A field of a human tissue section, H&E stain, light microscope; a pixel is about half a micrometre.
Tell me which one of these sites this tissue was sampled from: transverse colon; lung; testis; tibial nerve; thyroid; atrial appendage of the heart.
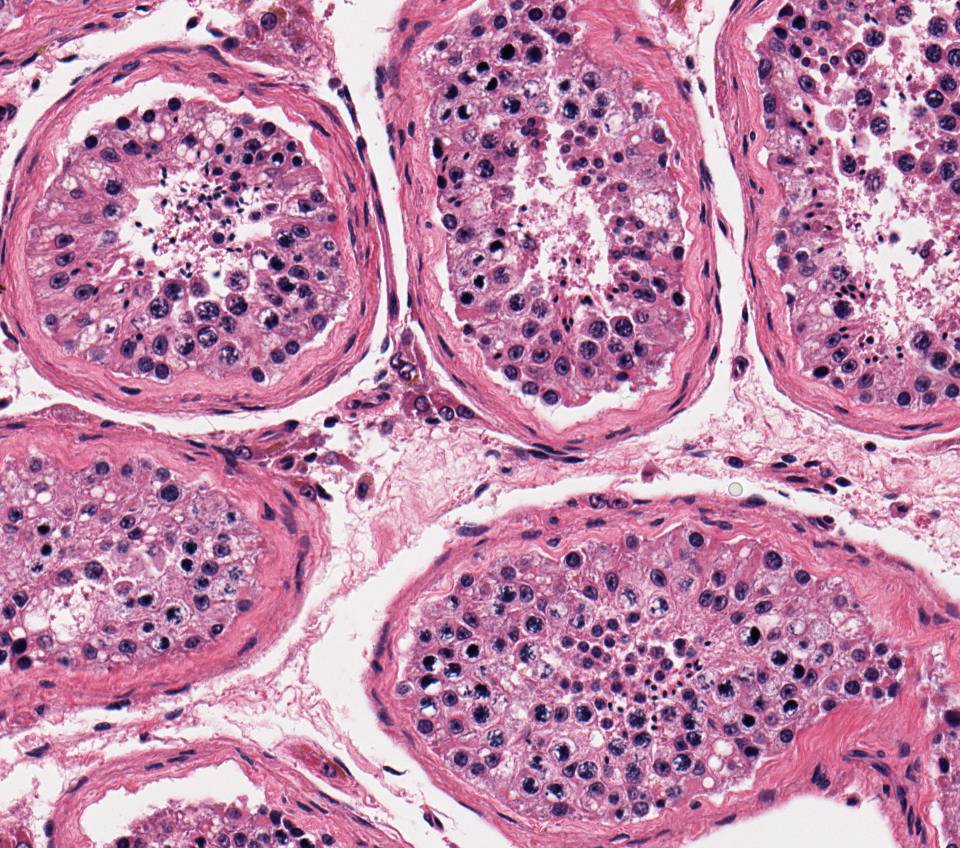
testis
